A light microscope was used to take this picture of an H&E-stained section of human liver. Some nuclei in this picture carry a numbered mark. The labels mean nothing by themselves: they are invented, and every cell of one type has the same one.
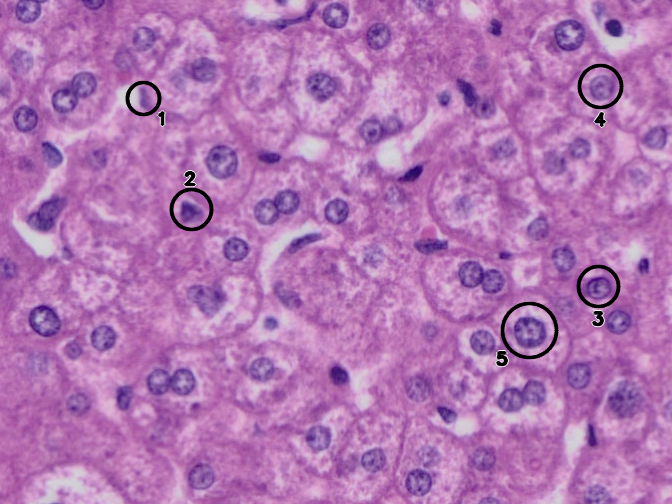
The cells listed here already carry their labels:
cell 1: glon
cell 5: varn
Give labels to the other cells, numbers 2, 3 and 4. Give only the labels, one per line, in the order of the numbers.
glon
varn
varn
